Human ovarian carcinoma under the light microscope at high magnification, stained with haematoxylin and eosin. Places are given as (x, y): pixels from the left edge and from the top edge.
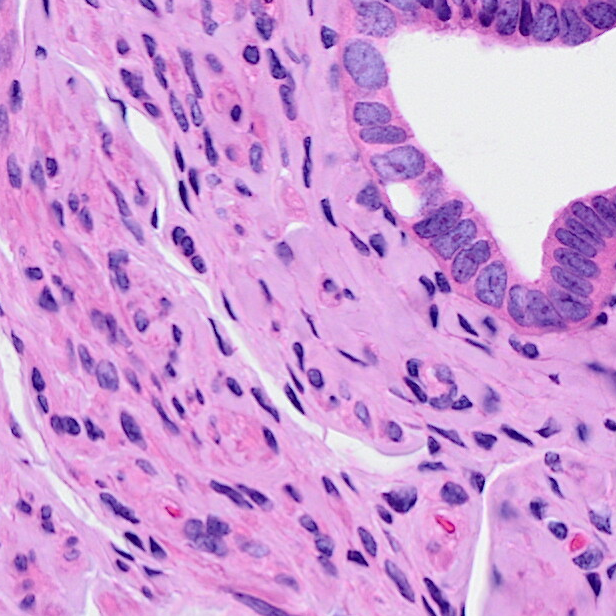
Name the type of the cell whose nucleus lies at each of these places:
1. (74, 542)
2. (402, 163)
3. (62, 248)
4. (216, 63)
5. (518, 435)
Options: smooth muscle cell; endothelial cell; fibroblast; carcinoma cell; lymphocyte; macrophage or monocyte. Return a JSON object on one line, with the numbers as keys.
{"1": "smooth muscle cell", "2": "carcinoma cell", "3": "smooth muscle cell", "4": "smooth muscle cell", "5": "fibroblast"}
